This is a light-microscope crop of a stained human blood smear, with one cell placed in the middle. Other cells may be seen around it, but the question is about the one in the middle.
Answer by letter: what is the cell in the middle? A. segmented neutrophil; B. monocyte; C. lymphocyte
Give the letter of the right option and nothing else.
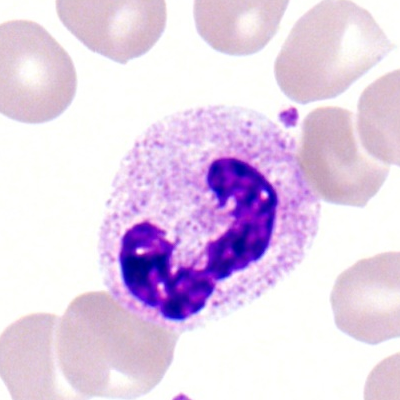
A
